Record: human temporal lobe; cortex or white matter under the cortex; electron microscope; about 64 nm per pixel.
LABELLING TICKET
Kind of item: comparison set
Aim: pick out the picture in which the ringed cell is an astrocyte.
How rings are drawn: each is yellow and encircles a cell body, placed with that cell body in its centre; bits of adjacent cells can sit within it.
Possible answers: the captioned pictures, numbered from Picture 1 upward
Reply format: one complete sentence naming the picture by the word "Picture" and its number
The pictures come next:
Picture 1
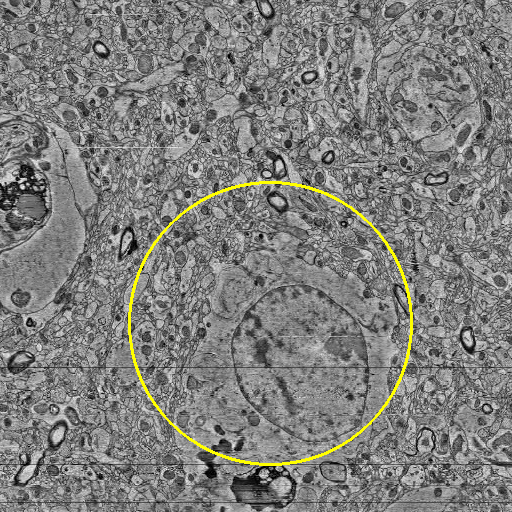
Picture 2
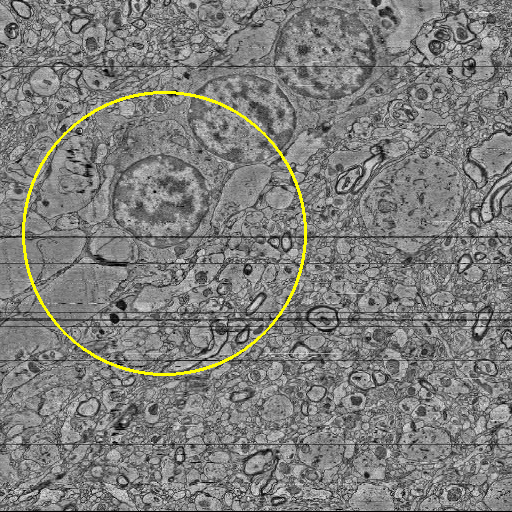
The cell centred inside the yellow ring in Picture 1 is the requested one.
